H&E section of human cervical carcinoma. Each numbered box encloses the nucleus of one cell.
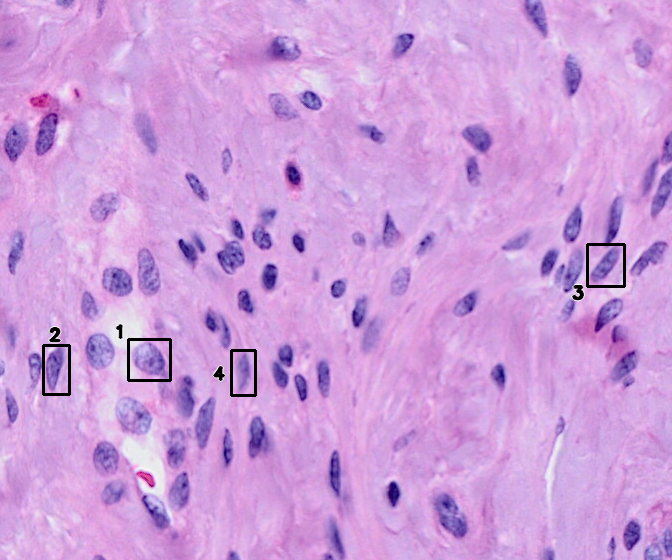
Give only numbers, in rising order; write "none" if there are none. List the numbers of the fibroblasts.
2, 3, 4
